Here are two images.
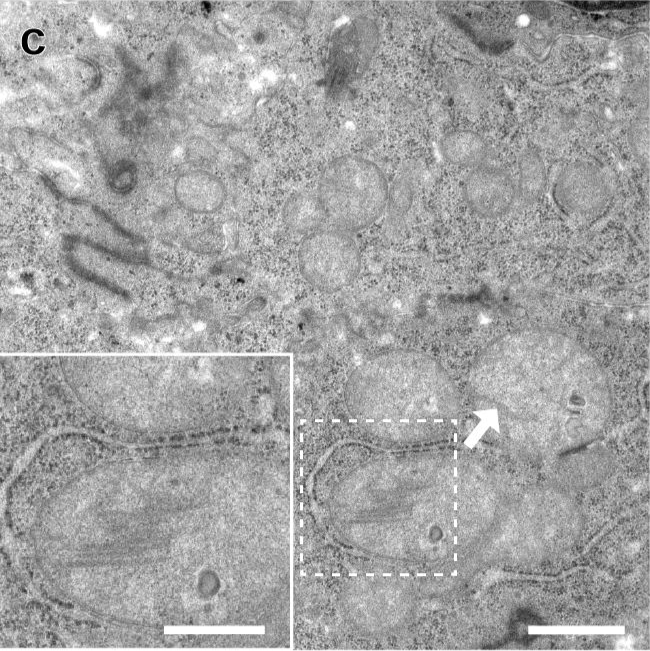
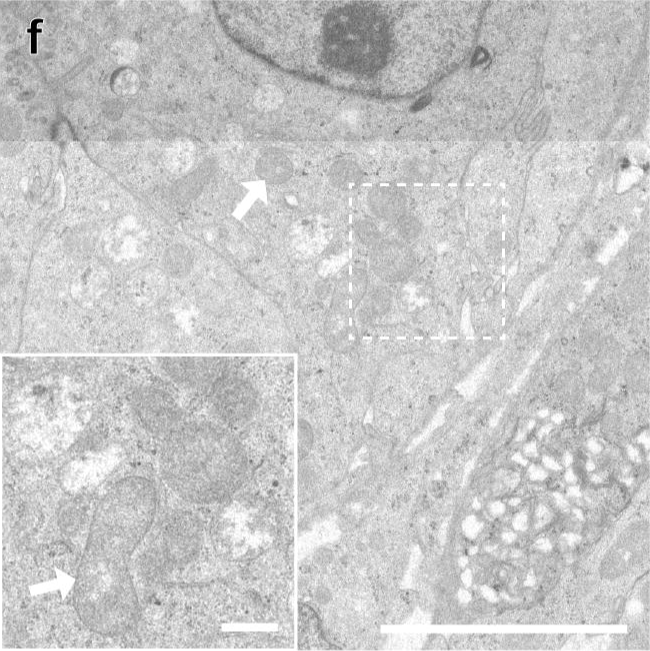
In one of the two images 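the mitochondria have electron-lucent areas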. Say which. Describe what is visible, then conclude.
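Second image: mitochondria contain pale, clear patches in their matrix.
Hence: the second image.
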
